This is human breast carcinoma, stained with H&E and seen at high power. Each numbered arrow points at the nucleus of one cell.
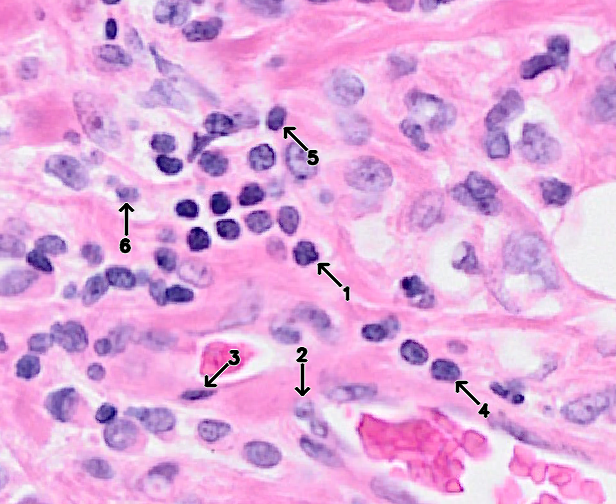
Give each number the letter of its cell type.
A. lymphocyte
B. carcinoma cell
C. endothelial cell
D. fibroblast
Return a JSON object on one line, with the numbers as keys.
{"1": "A", "2": "C", "3": "C", "4": "A", "5": "A", "6": "A"}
